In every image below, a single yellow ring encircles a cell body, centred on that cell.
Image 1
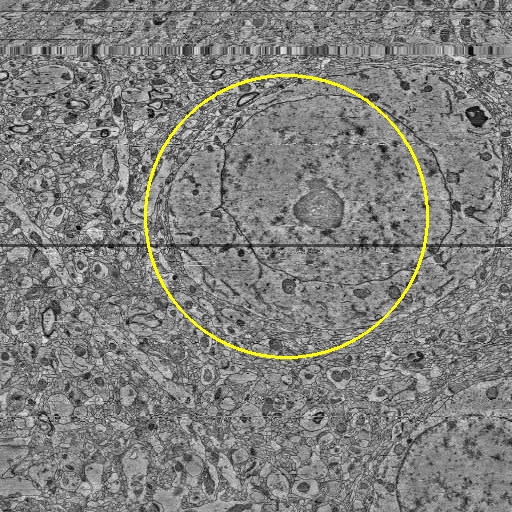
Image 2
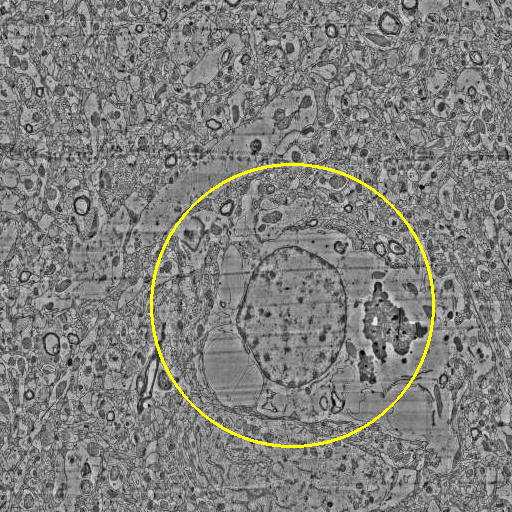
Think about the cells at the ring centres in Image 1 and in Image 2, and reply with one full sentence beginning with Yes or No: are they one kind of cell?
No, the cells centred in the rings of Image 1 and Image 2 are two kinds of cell.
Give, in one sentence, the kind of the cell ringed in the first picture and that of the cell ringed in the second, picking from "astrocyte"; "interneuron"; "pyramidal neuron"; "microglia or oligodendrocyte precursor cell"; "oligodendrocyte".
For the first picture it is a pyramidal neuron; for the second, an astrocyte.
